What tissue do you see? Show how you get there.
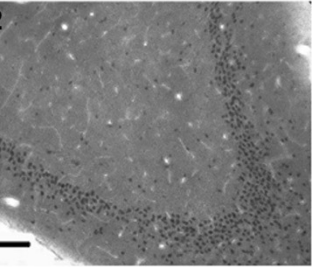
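Hippocampus. A band of densely packed dark cell bodies curves across the section. The band bends sharply, as the pyramidal layer does. Fine pale blood vessels run through the surrounding neuropil.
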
